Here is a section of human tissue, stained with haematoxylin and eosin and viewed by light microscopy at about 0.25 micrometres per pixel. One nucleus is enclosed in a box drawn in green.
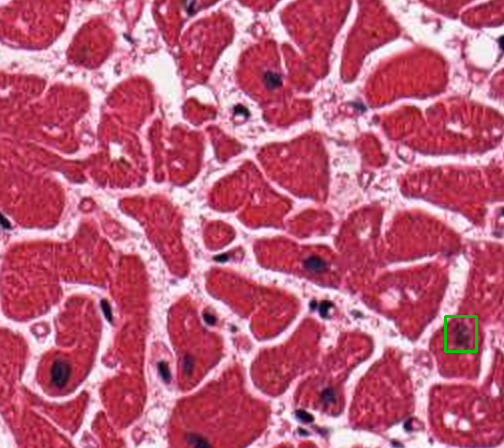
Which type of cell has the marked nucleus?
cardiomyocyte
